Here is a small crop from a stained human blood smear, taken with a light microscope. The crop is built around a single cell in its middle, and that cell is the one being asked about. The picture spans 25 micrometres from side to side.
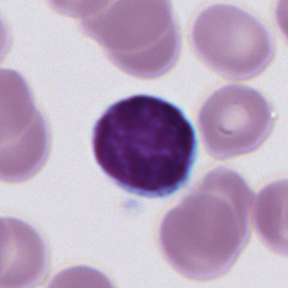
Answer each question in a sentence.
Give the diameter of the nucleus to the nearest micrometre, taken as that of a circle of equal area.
Taken as a circle, the nucleus has a diameter of about 8 micrometres.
